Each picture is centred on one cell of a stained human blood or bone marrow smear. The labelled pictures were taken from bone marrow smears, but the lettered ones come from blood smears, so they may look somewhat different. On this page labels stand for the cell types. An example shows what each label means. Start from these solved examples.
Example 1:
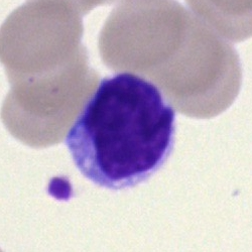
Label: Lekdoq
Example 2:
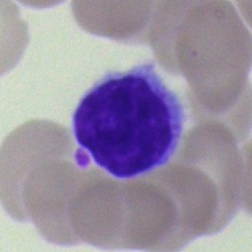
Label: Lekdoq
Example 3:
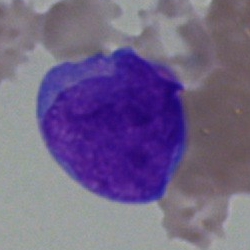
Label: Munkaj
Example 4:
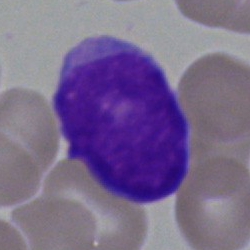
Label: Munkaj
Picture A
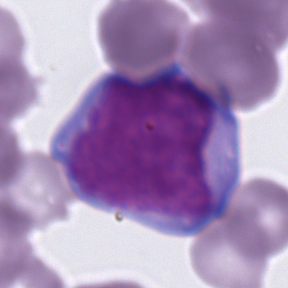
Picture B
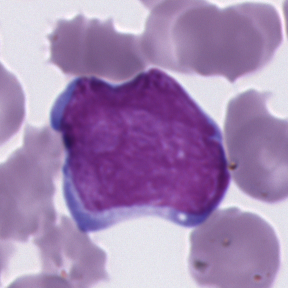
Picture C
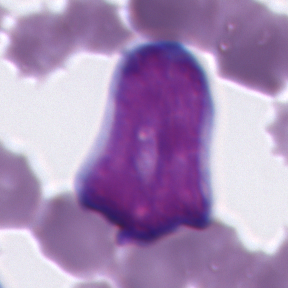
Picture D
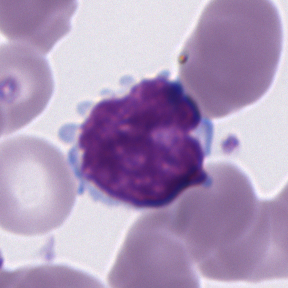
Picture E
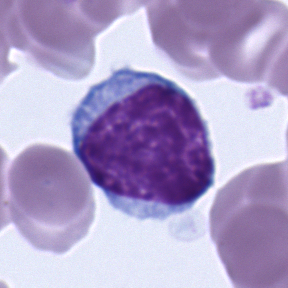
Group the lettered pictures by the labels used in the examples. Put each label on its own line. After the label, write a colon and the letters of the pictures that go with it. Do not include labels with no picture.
Lekdoq: D, E
Munkaj: A, B, C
